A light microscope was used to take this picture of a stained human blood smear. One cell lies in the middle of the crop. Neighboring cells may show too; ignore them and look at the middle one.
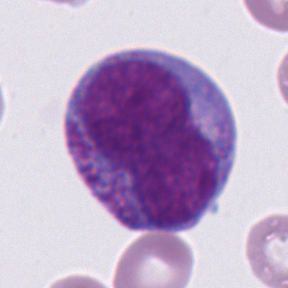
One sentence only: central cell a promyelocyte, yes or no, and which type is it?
Yes, the cell in the middle is a promyelocyte.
